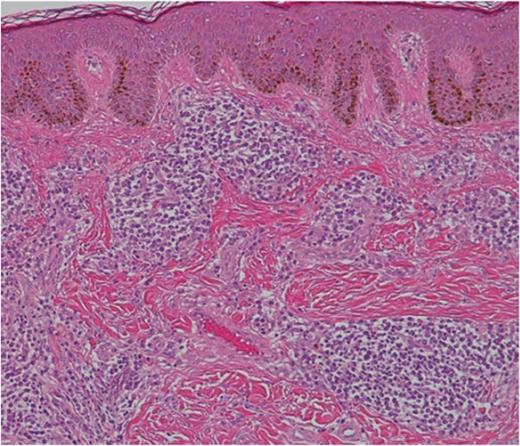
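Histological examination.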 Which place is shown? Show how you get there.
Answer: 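Dermis. Dense clusters of small round cells lie beneath the epidermis among pink collagen bundles. The overlying epidermis and cornified layer look intact.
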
